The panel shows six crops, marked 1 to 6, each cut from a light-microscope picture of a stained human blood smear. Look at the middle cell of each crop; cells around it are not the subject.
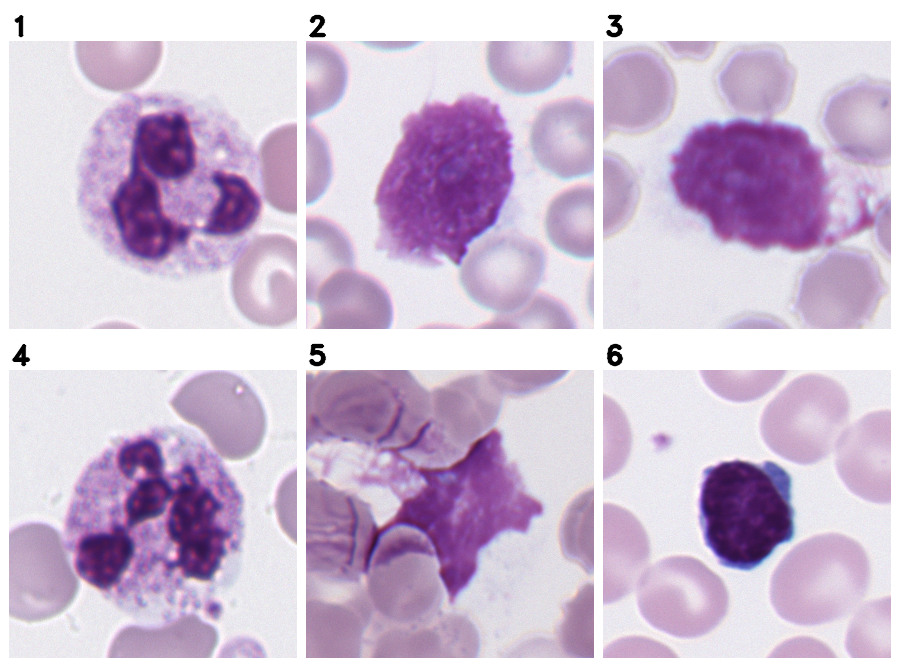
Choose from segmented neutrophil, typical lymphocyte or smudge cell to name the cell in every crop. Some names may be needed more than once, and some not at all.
1: segmented neutrophil
2: smudge cell
3: smudge cell
4: segmented neutrophil
5: smudge cell
6: typical lymphocyte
